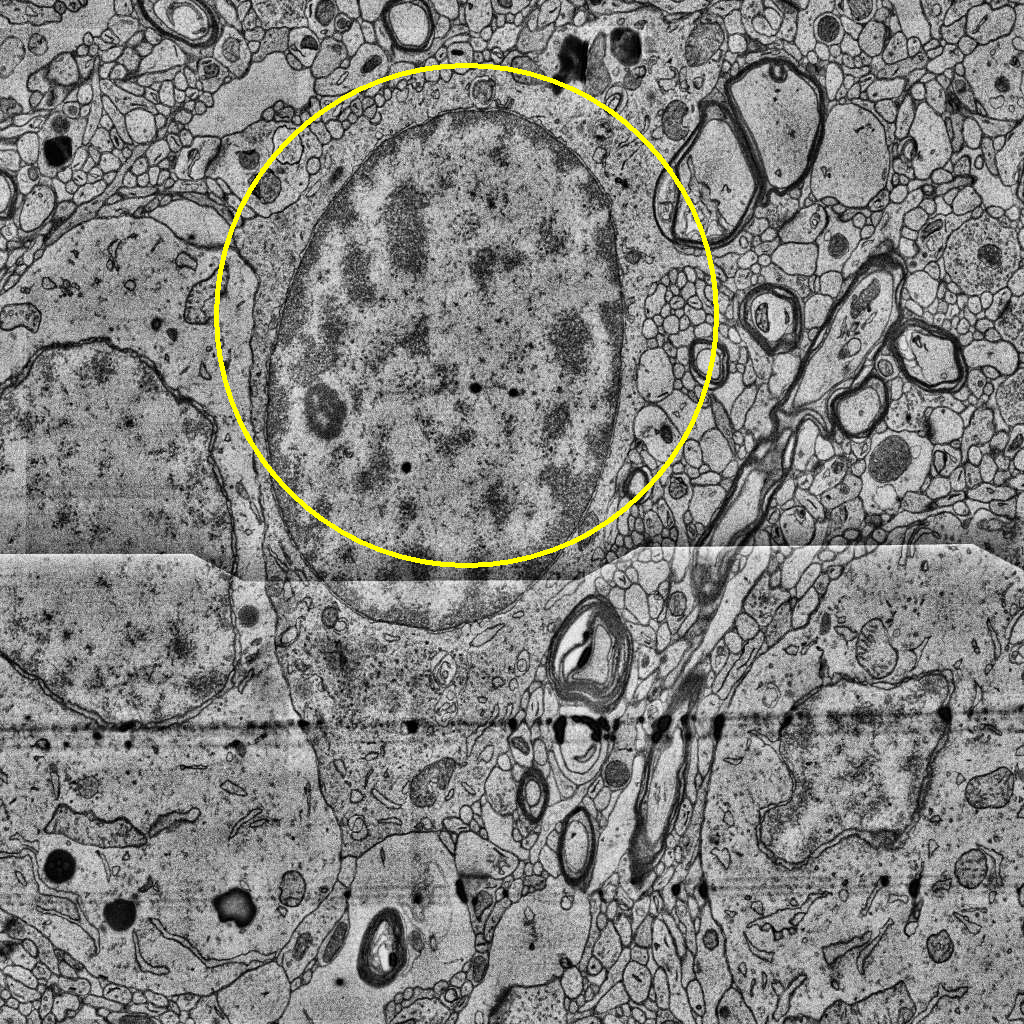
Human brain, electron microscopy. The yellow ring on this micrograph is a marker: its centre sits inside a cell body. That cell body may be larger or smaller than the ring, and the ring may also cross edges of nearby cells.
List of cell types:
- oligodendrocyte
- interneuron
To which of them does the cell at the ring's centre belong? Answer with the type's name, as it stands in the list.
oligodendrocyte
